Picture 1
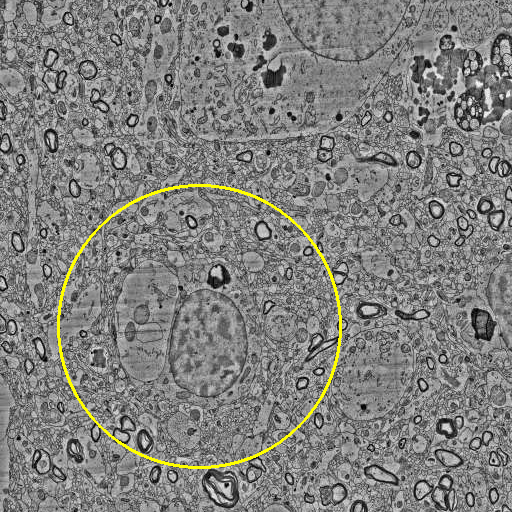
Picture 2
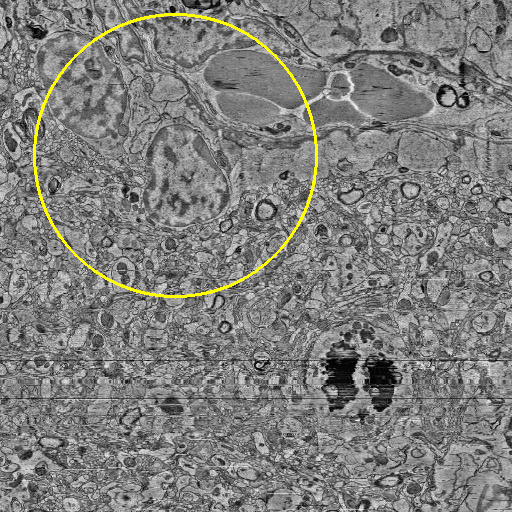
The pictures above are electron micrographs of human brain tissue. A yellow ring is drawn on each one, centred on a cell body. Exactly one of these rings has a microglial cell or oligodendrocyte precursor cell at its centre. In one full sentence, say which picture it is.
Picture 2 has it at the centre of its ring.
